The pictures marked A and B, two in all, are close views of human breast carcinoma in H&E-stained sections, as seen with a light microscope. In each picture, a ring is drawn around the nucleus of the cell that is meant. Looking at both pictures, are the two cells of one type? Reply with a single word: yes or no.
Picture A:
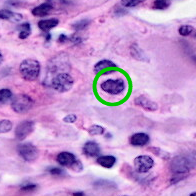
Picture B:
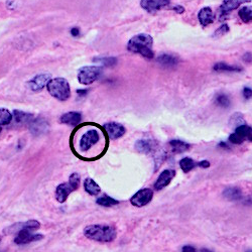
yes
